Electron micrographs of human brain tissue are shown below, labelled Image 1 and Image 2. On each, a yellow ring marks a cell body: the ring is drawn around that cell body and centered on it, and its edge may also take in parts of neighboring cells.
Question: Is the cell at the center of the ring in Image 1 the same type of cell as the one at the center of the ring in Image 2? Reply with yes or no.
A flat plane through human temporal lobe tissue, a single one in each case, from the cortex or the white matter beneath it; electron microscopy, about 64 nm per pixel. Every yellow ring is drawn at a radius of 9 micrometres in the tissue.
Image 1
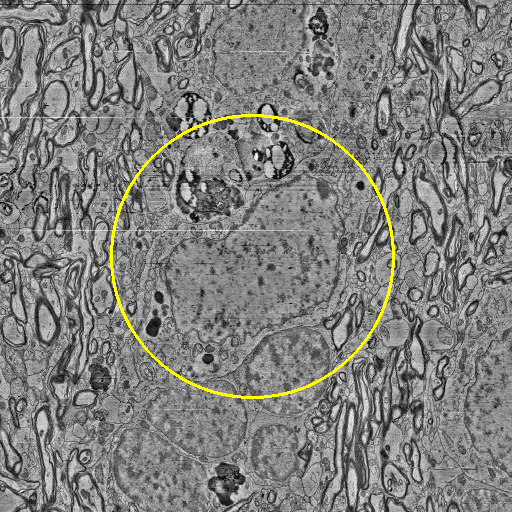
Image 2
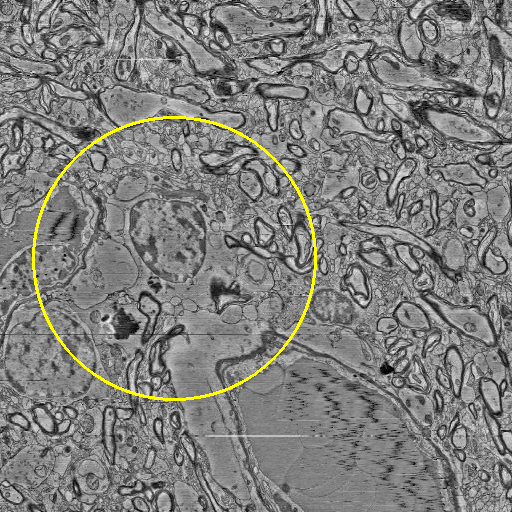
no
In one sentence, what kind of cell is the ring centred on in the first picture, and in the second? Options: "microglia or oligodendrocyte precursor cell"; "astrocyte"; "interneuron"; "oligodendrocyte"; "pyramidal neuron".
The cell at the centre of the second ring is a microglial cell or oligodendrocyte precursor cell; the first ring's cell is an interneuron.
